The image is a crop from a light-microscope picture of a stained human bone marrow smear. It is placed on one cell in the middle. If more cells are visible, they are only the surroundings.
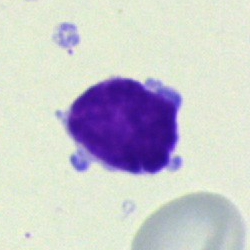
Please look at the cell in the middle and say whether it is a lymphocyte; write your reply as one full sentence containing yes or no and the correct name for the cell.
Yes, the cell occupying the middle of the crop is a lymphocyte.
